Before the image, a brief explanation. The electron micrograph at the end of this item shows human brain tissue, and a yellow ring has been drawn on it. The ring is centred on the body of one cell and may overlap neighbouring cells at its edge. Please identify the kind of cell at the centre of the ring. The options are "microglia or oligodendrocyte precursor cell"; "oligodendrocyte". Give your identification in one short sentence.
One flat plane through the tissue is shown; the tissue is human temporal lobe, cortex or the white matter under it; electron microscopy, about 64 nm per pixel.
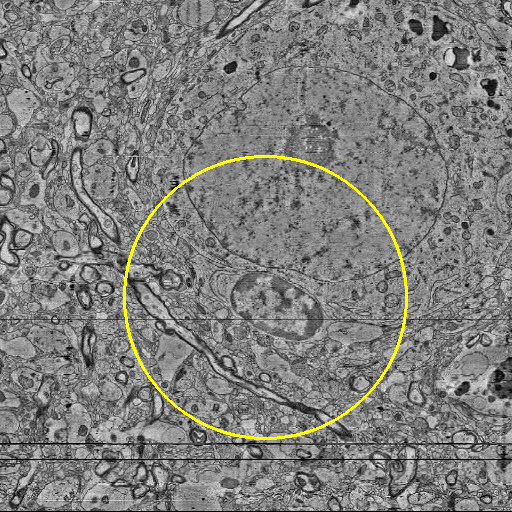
The ring has been placed around a microglial cell or oligodendrocyte precursor cell.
